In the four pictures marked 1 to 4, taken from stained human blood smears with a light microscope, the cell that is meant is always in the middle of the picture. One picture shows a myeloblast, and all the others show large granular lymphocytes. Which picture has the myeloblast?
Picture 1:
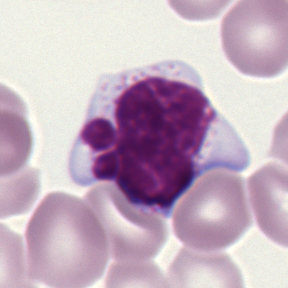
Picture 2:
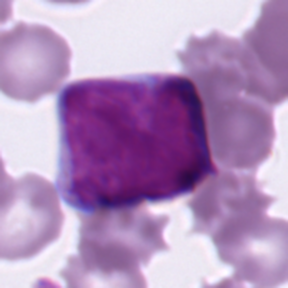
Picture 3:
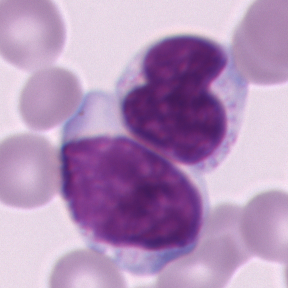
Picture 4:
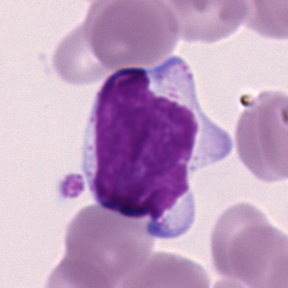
2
